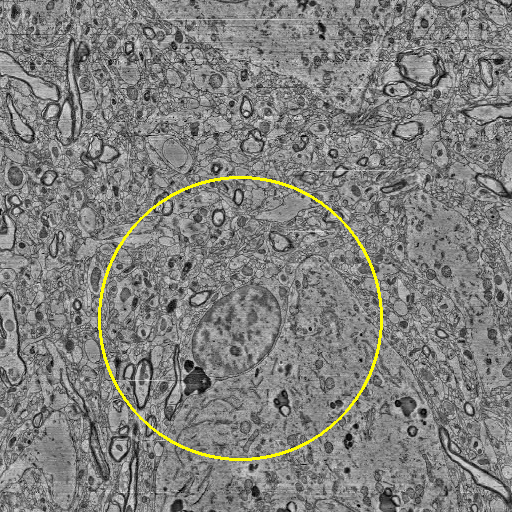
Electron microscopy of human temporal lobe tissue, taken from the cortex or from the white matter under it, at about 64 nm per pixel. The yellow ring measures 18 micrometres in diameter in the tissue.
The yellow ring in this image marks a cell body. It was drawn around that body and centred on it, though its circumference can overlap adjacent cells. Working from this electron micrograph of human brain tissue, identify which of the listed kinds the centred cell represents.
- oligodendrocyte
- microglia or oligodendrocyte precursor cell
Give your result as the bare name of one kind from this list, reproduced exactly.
oligodendrocyte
